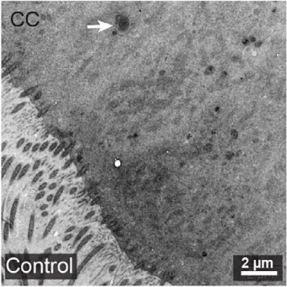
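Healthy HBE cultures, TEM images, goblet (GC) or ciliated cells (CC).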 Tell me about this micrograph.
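This electron micrograph shows part of an airway epithelial cell with its surface running diagonally across the lower left. Along that surface many slender finger-like projections stick out into the pale space beyond the cell. The cytoplasm above is finely granular grey with only a few scattered small dark round bodies. One of these small dark round bodies is picked out near the upper part of the cell.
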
